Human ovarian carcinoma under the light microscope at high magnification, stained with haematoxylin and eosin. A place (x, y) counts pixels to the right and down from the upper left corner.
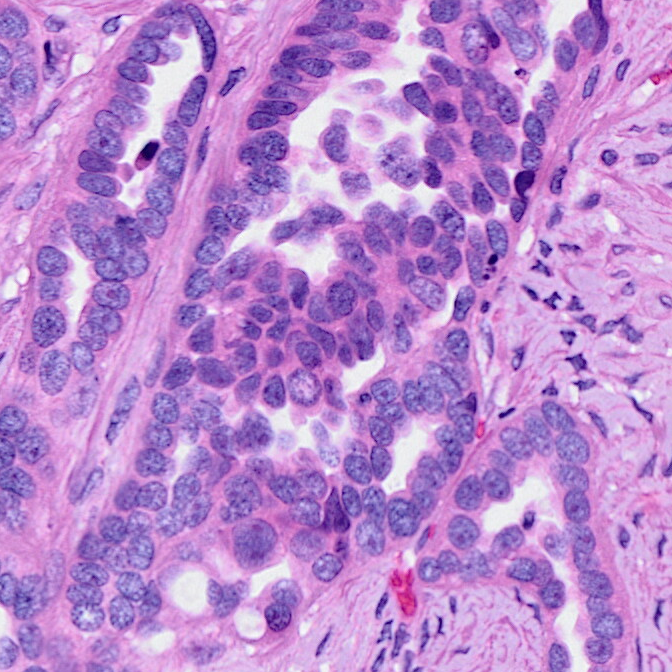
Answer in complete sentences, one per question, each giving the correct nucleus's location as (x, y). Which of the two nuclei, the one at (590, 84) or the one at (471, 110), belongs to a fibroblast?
The one nucleus of the two that belongs to a fibroblast is at (590, 84).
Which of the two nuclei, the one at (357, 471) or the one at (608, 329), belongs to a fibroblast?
The nucleus at position (608, 329) belongs to a fibroblast.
